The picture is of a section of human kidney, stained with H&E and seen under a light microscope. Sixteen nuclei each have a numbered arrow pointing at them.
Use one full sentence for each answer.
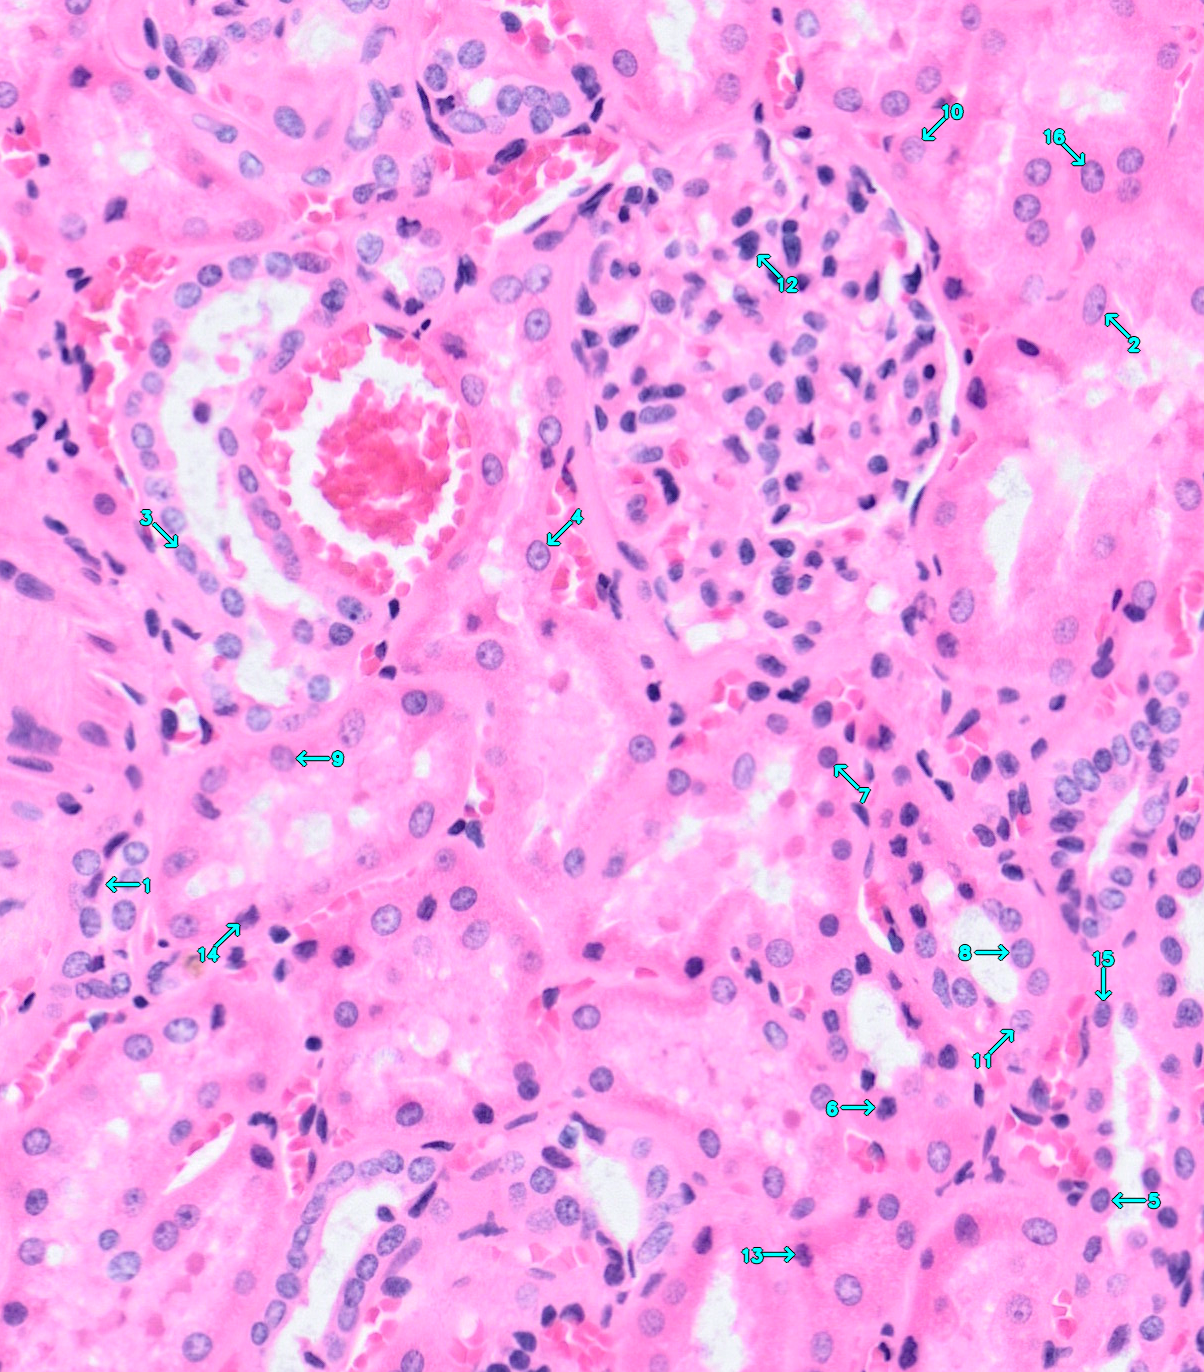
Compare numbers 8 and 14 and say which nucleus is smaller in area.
Nucleus 14 is the smaller one; nucleus 8 covers about 1.5 times its area.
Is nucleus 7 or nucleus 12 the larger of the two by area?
At about 1.5 times the area of nucleus 7, nucleus 12 is the larger of the two.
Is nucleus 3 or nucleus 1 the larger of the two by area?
It is nucleus 3, which covers about 1.5 times the area of nucleus 1.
